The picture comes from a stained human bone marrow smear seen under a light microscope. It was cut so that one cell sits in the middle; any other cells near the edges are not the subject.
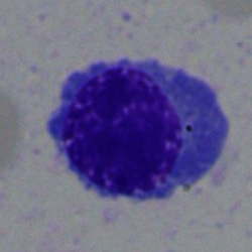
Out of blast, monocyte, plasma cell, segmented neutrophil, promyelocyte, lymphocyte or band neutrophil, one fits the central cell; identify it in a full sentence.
Classified as a plasma cell is the cell in the middle of this crop.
